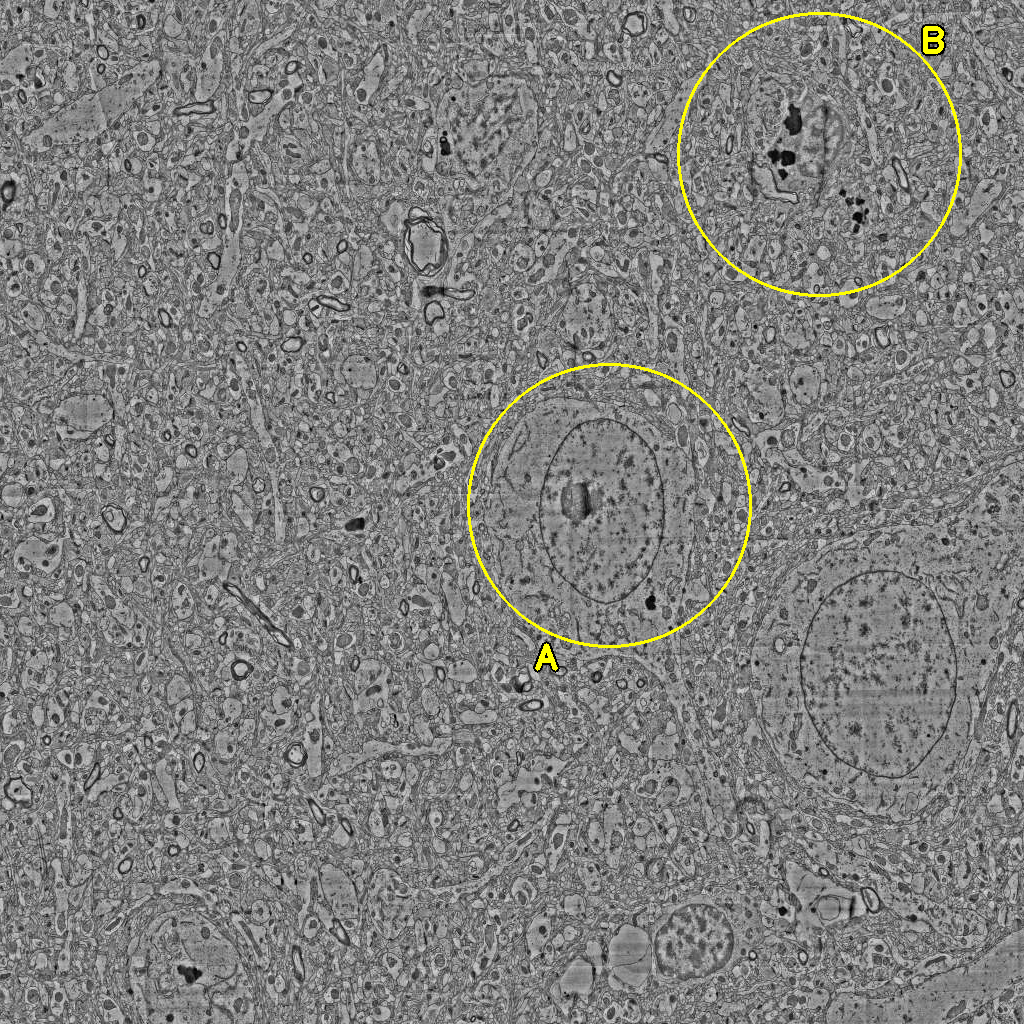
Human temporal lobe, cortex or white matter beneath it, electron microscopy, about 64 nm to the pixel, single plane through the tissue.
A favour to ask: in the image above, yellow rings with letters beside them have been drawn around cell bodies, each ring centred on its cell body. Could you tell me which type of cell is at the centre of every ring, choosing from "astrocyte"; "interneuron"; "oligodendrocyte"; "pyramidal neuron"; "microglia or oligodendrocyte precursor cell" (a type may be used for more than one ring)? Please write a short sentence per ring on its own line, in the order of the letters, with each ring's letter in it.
Ring A holds a pyramidal neuron at its centre.
Ring B holds an oligodendrocyte at its centre.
